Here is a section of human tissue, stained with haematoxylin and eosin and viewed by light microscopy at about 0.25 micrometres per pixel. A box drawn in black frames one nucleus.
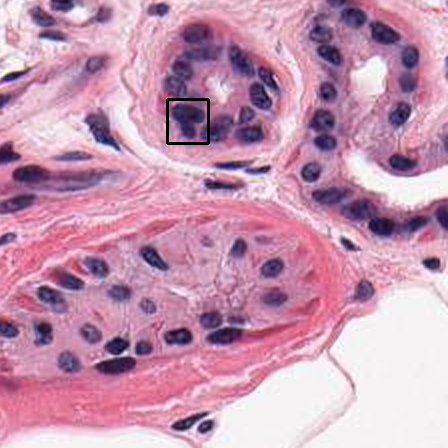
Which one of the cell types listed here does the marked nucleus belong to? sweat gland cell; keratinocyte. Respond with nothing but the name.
sweat gland cell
